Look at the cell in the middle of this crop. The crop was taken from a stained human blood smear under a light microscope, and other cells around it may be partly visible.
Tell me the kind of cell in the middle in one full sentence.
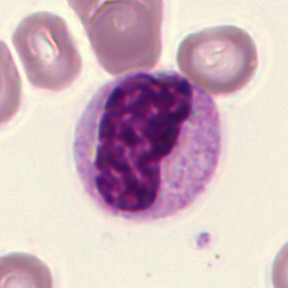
In the middle of this smear crop is a metamyelocyte.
